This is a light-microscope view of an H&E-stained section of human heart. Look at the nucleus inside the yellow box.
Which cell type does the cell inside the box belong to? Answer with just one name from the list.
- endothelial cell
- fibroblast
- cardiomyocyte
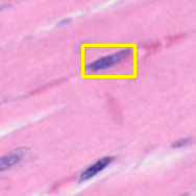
endothelial cell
